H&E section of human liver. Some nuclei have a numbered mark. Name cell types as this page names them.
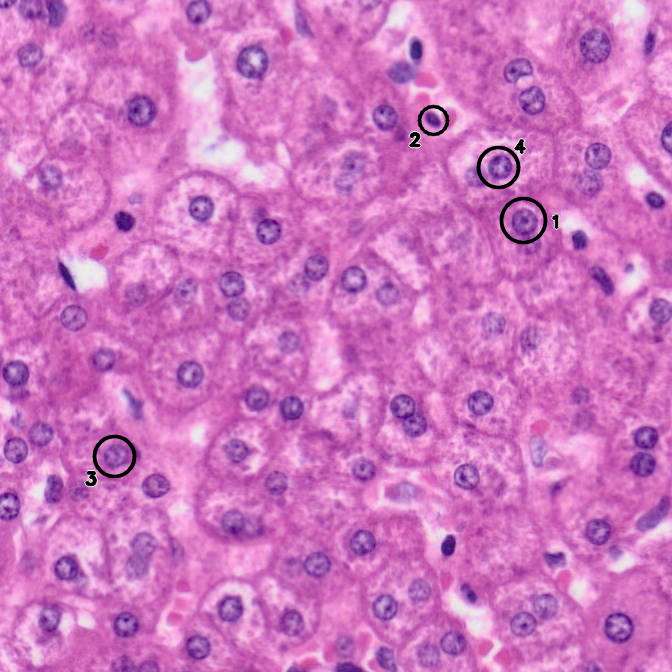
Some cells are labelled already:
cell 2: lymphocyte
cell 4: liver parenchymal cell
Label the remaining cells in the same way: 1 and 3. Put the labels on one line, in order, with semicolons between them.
liver parenchymal cell; liver parenchymal cell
